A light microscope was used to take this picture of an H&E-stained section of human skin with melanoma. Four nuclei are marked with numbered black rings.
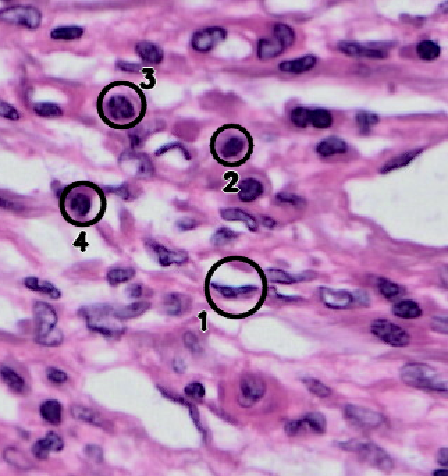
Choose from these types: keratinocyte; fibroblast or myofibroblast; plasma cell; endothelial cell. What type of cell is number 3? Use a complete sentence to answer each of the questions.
Heads up, the cell numbered 3 is a plasma cell.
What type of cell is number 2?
The numbered cell 2 is identified here as a plasma cell.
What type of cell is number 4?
The cell indicated with the number 4 is classed as a plasma cell.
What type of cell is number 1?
The cell indicated by marker 1 is a fibroblast or myofibroblast in this section.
